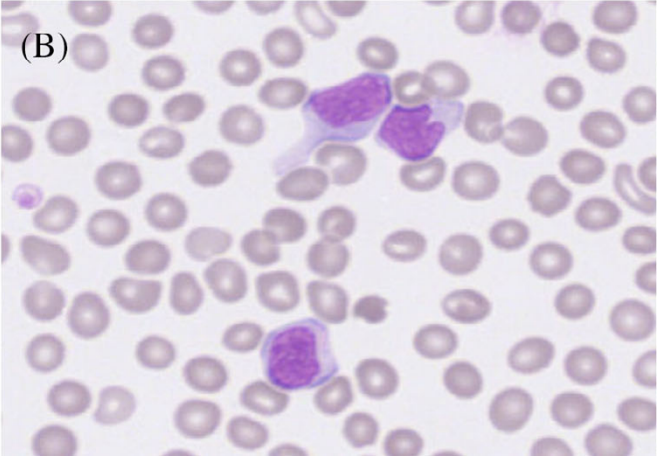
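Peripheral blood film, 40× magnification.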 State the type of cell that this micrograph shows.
Atypical lymphocytes.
